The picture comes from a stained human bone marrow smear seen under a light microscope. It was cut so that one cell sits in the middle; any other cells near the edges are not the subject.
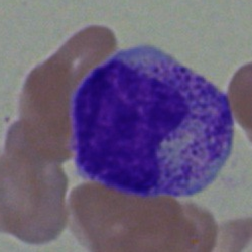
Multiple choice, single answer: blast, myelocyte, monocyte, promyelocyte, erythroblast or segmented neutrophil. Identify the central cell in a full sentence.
The middle cell in this particular crop is a myelocyte.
